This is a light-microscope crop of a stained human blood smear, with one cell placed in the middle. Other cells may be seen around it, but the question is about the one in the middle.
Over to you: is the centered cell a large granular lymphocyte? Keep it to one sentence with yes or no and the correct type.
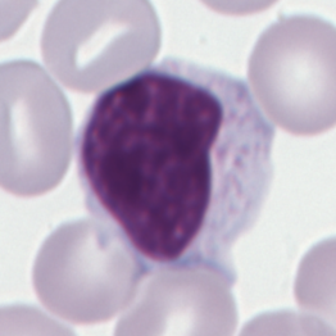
Yes, the middle cell of the field is a large granular lymphocyte.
